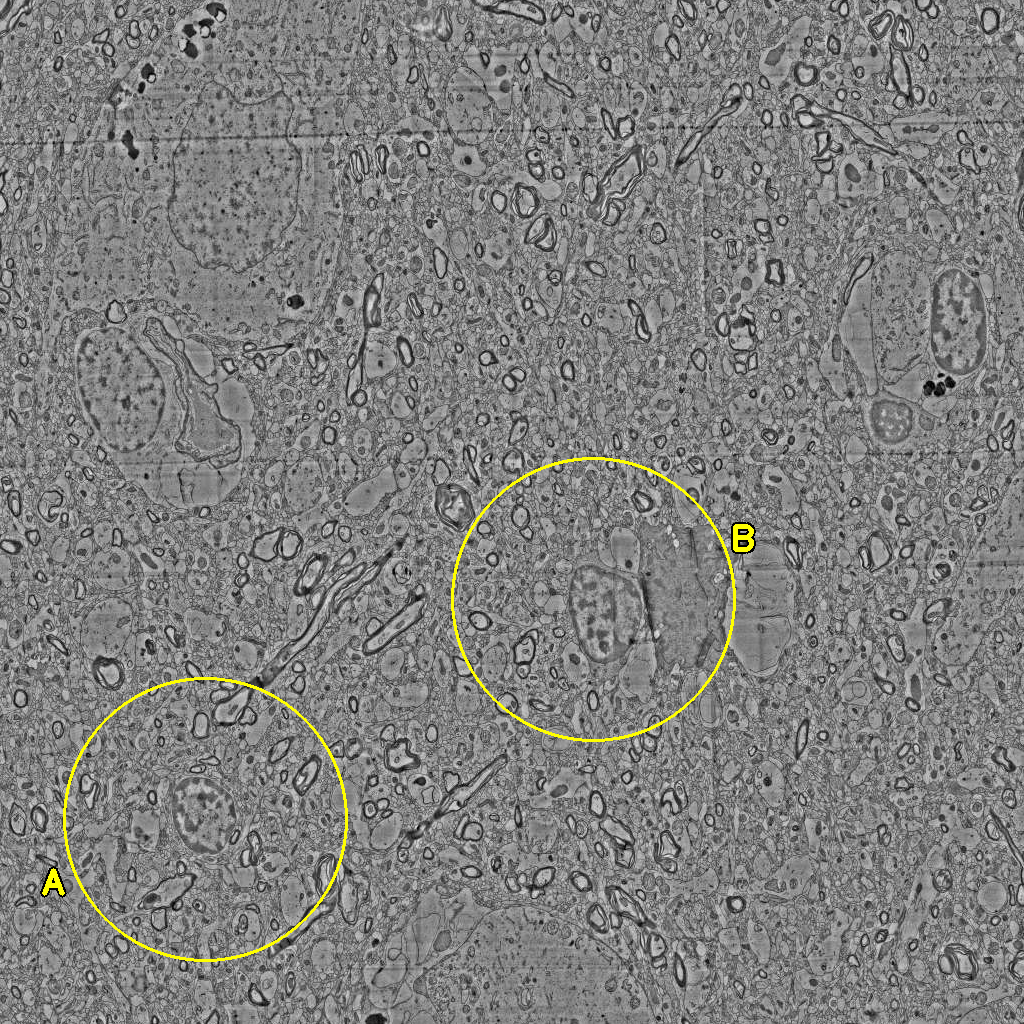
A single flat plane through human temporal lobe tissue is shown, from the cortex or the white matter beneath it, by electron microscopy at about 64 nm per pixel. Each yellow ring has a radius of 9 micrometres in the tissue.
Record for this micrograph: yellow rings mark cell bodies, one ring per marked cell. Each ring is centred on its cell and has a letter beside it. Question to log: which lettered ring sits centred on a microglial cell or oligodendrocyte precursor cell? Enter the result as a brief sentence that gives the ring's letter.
Ring A holds it at its centre.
